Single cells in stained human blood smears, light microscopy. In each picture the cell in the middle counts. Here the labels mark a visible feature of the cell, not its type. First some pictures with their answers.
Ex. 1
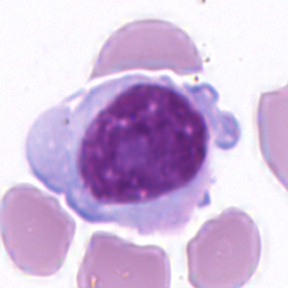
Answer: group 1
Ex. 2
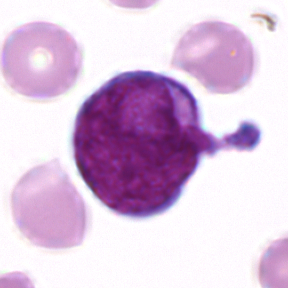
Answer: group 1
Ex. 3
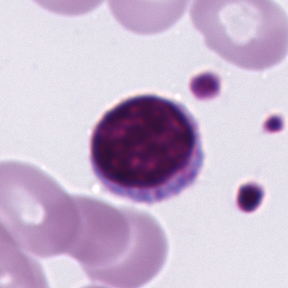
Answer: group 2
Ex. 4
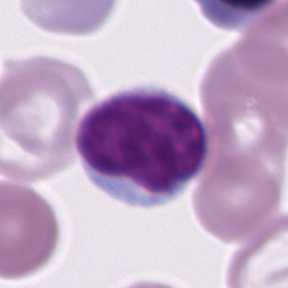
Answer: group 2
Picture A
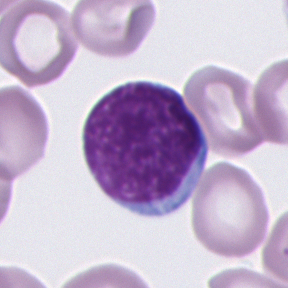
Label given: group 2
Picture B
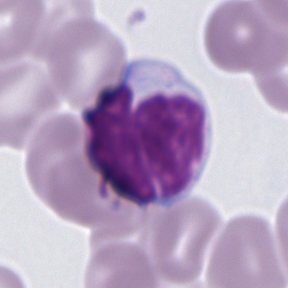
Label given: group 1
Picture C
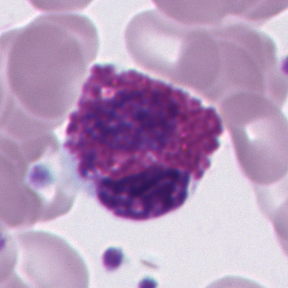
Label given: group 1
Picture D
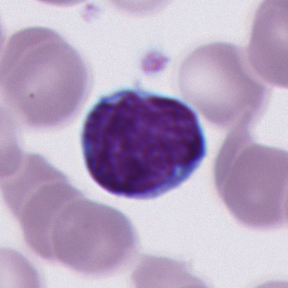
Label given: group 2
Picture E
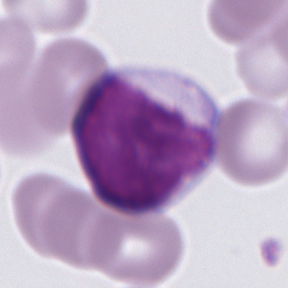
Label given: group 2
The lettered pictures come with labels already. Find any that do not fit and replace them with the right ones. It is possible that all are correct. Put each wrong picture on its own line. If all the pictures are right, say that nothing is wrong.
Every label is right.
